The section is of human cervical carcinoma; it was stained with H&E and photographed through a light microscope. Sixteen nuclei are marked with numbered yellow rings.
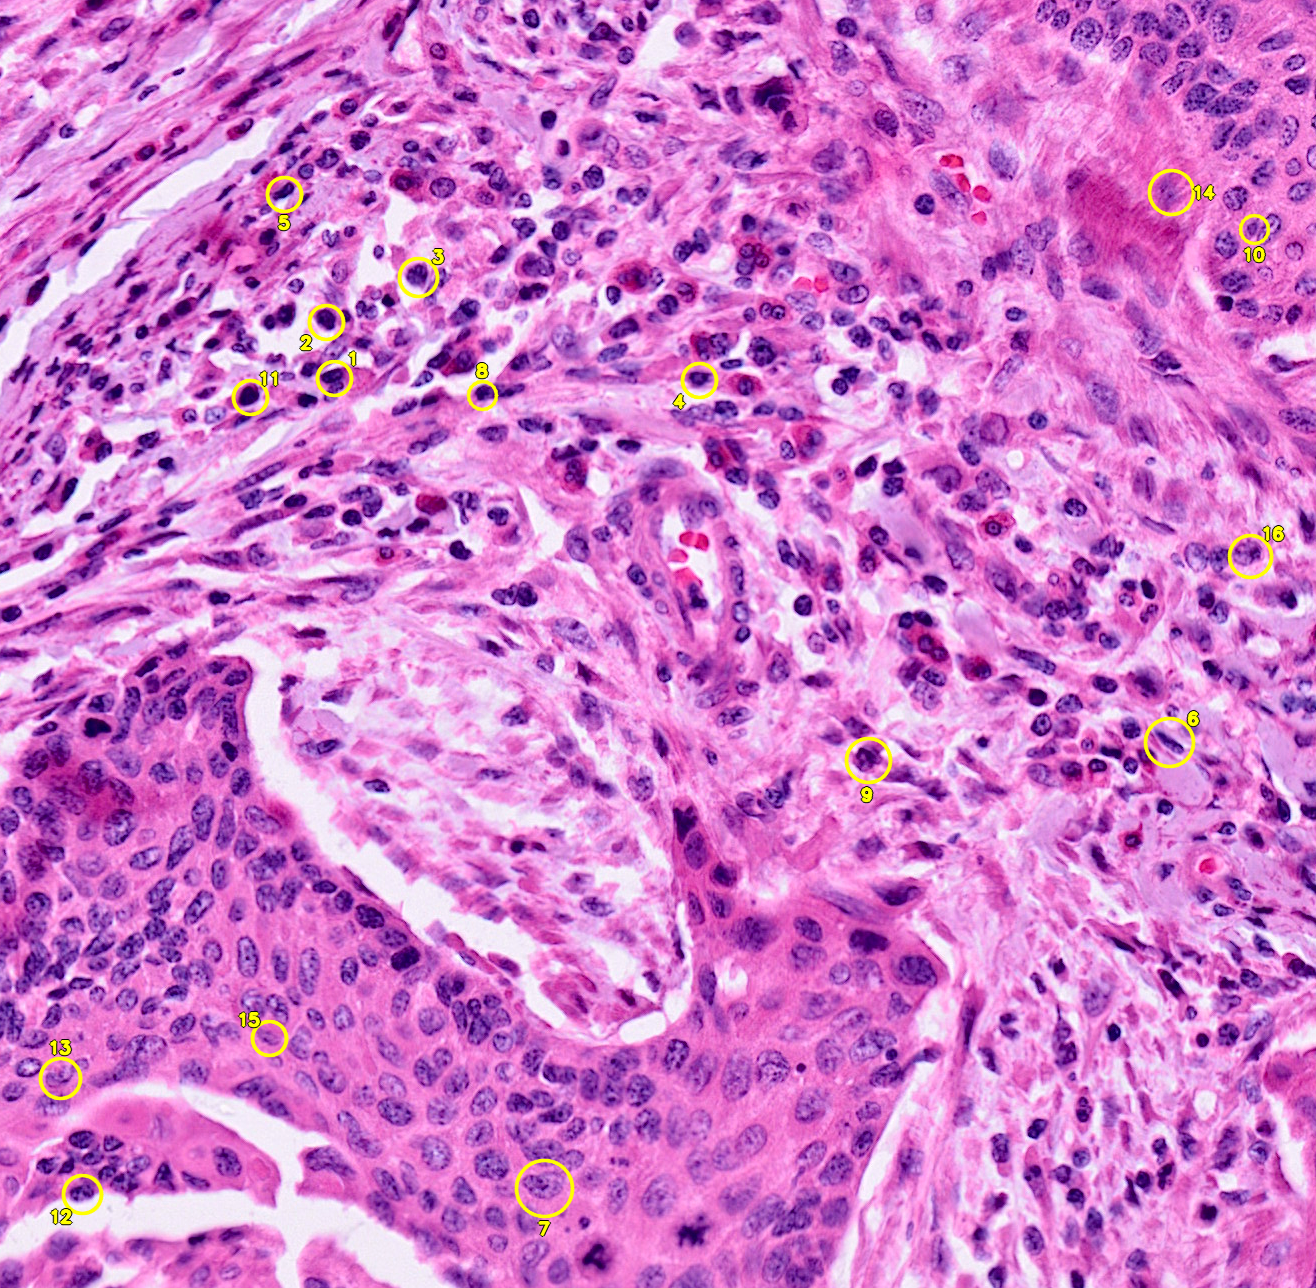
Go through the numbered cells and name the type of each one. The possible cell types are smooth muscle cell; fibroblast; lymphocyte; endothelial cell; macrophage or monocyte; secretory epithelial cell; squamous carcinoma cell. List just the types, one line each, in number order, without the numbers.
lymphocyte
lymphocyte
lymphocyte
lymphocyte
lymphocyte
lymphocyte
squamous carcinoma cell
lymphocyte
macrophage or monocyte
squamous carcinoma cell
lymphocyte
squamous carcinoma cell
squamous carcinoma cell
fibroblast
squamous carcinoma cell
macrophage or monocyte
